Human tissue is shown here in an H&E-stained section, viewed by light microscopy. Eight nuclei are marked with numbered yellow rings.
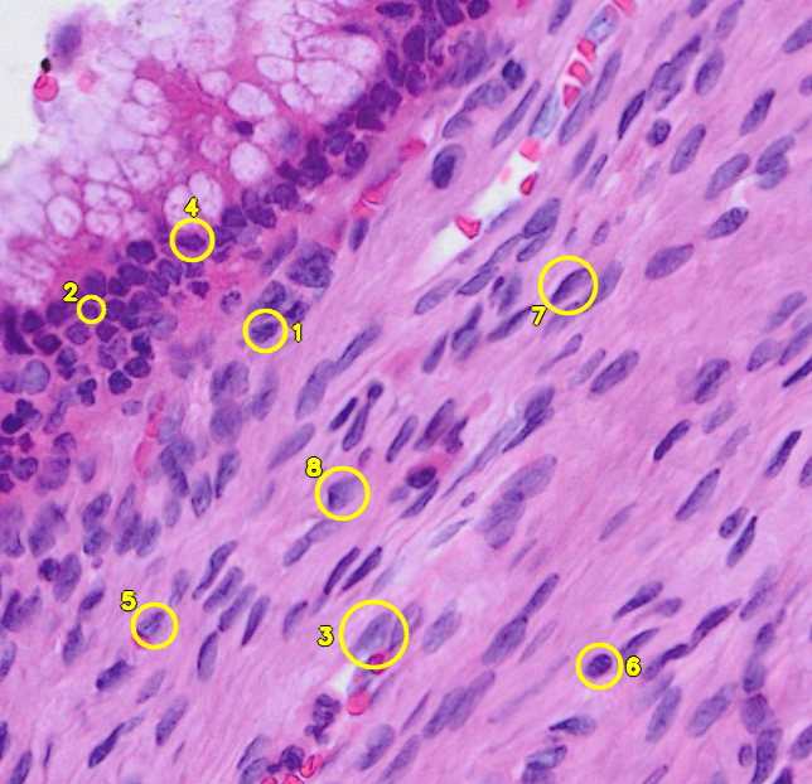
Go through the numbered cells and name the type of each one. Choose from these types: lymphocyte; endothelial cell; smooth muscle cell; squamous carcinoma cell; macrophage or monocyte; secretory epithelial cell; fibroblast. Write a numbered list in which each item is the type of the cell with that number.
1. lymphocyte
2. secretory epithelial cell
3. endothelial cell
4. secretory epithelial cell
5. endothelial cell
6. lymphocyte
7. fibroblast
8. fibroblast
